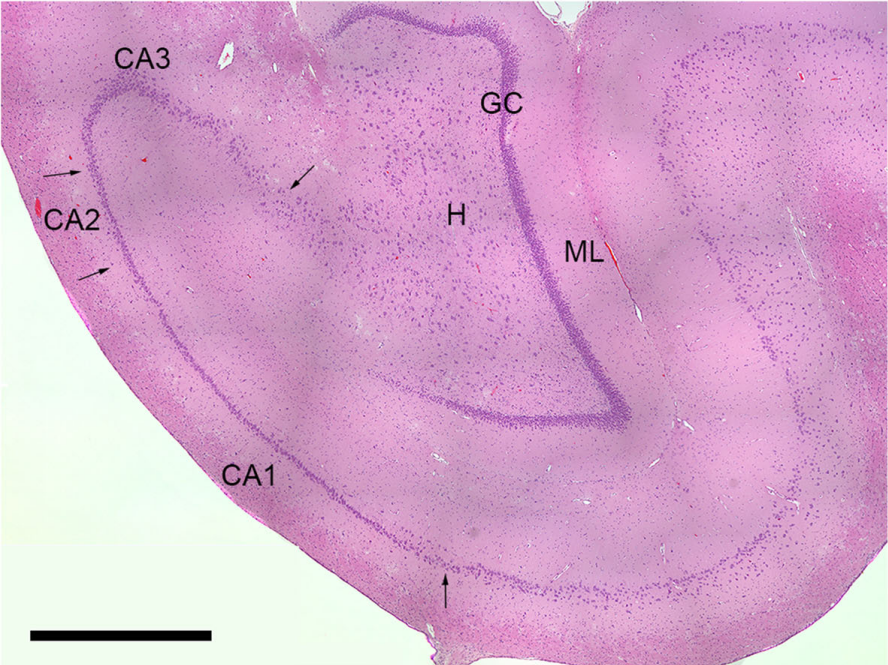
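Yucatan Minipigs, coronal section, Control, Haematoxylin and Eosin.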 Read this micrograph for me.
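This is a low-power view of the hippocampus. A continuous band of purple-stained neurons sweeps in a broad C-shaped curve along the outer edge of the section. Nested inside this curve is a narrower, more densely packed V-shaped band of small cells. Within the opening of the V lies a zone of scattered cells, while the pink-staining area along the outer side of the V has few cells. Small red vessels are dotted through the pink background, and arrows mark points along the curved band.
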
